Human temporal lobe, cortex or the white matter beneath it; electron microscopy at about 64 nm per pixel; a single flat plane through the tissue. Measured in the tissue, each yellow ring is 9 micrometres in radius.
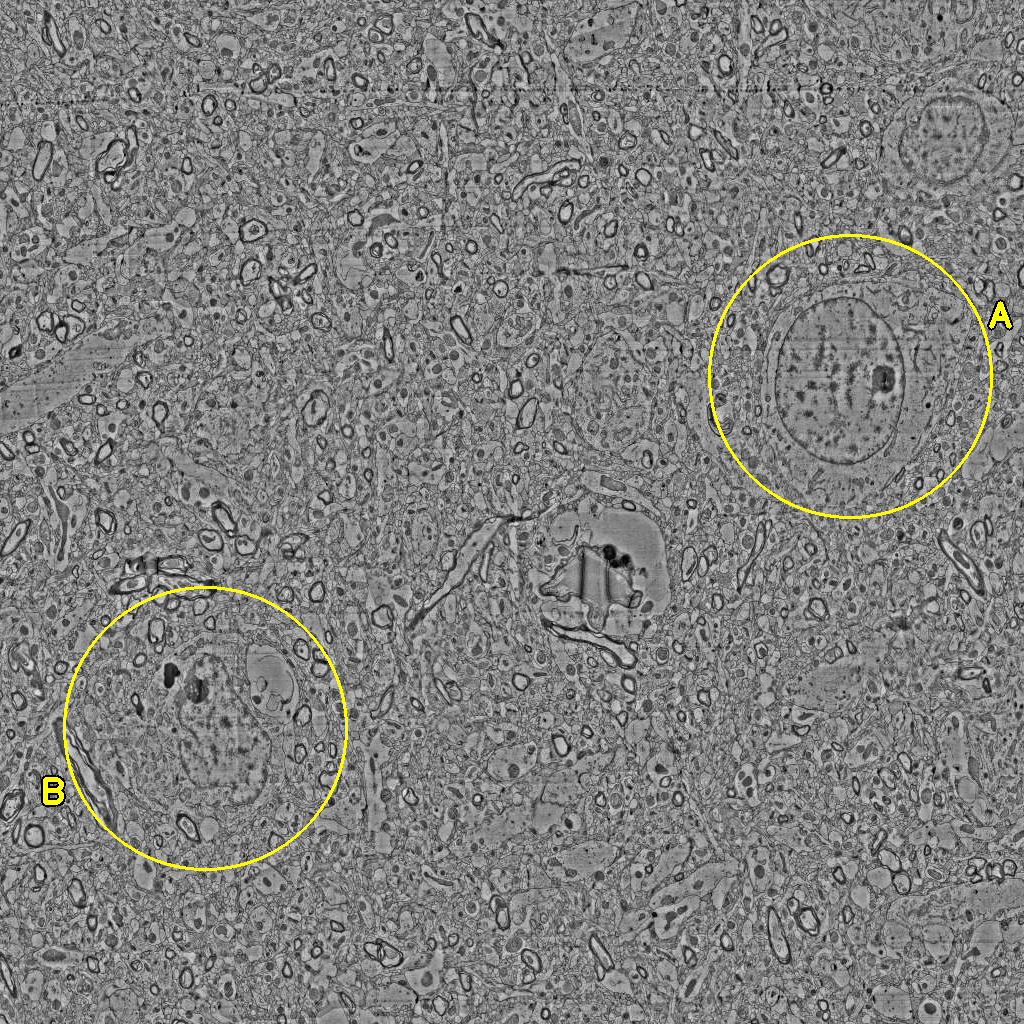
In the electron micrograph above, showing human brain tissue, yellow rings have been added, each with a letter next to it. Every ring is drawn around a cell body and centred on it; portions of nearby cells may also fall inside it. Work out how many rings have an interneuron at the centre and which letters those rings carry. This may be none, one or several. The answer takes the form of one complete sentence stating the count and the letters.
A single ring, lettered B, is centred on an interneuron in this micrograph.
